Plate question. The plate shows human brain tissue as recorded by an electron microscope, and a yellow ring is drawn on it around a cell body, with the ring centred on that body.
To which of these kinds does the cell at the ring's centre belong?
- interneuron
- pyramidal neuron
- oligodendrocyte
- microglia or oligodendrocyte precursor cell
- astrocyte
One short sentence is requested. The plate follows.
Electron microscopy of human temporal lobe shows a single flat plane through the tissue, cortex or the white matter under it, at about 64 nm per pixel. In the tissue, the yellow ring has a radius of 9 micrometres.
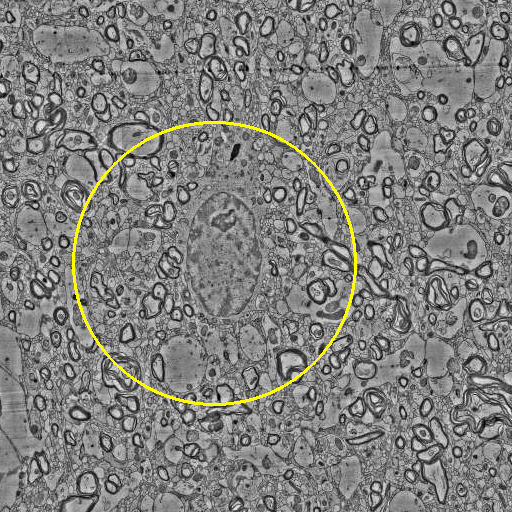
The cell at the ring's centre is an oligodendrocyte.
